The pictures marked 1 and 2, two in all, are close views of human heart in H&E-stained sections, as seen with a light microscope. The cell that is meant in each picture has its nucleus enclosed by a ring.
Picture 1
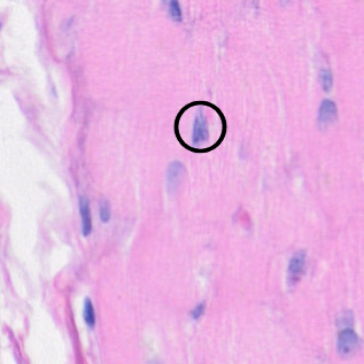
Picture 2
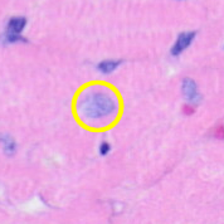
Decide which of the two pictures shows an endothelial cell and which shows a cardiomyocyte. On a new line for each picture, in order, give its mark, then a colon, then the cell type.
1: endothelial cell
2: cardiomyocyte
